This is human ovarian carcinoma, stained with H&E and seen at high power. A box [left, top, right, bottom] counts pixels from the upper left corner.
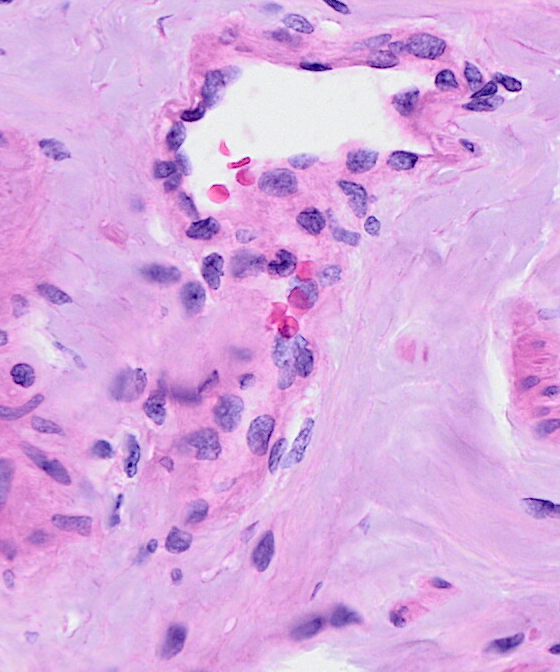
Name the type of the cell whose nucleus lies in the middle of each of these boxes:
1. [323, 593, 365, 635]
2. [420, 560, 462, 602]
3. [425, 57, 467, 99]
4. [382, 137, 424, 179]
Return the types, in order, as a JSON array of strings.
["fibroblast", "smooth muscle cell", "endothelial cell", "endothelial cell"]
